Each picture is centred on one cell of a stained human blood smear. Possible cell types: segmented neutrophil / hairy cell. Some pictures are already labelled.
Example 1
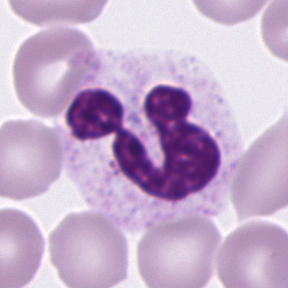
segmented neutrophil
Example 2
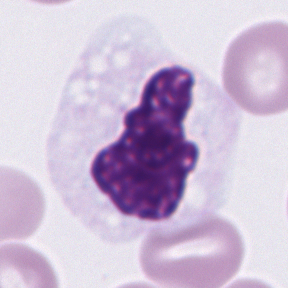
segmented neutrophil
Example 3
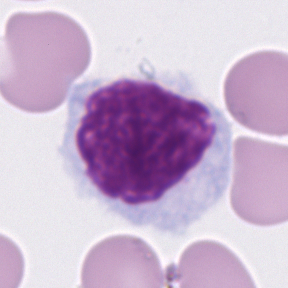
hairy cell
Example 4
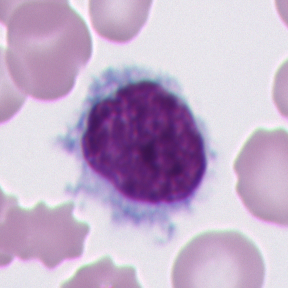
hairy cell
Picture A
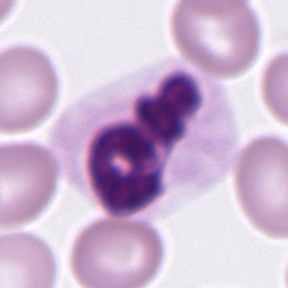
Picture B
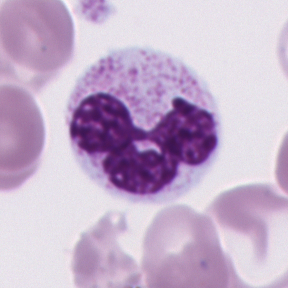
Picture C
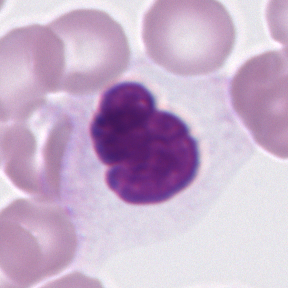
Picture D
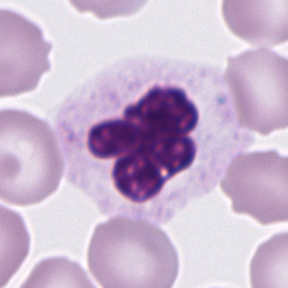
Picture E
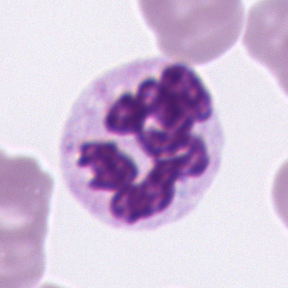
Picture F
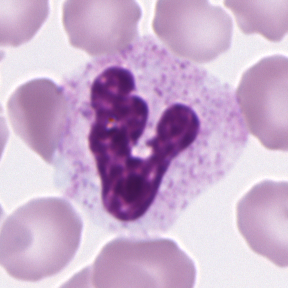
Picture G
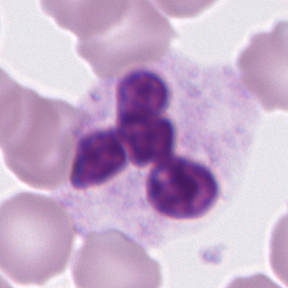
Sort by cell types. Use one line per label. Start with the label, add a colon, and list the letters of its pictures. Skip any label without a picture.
segmented neutrophil: A, B, C, D, E, F, G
